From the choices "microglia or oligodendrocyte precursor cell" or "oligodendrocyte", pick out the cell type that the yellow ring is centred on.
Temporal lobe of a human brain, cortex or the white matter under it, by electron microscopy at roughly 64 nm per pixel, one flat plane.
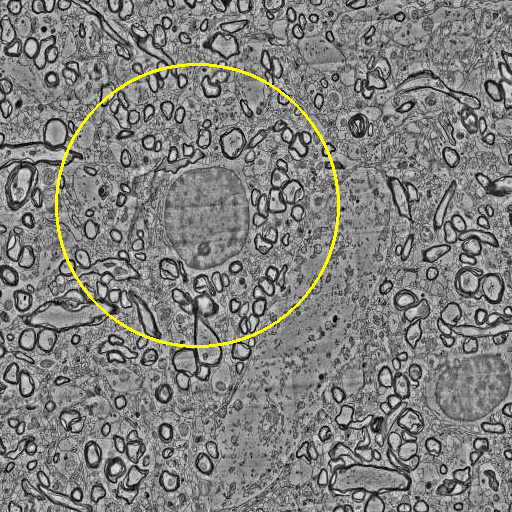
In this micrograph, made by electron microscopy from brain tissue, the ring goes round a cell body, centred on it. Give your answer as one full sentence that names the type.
The yellow ring is centred on an oligodendrocyte, whose cell body it encircles in the picture.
